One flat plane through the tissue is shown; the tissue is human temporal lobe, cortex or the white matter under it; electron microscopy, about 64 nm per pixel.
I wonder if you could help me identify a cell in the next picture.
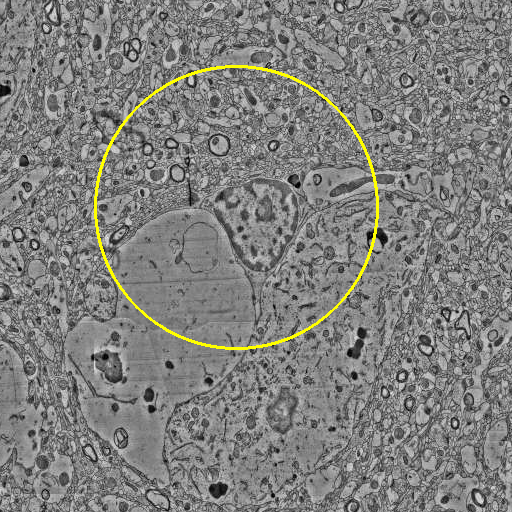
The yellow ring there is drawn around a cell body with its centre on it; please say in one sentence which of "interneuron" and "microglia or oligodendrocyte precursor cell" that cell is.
The yellow ring is centred on a microglial cell or oligodendrocyte precursor cell.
